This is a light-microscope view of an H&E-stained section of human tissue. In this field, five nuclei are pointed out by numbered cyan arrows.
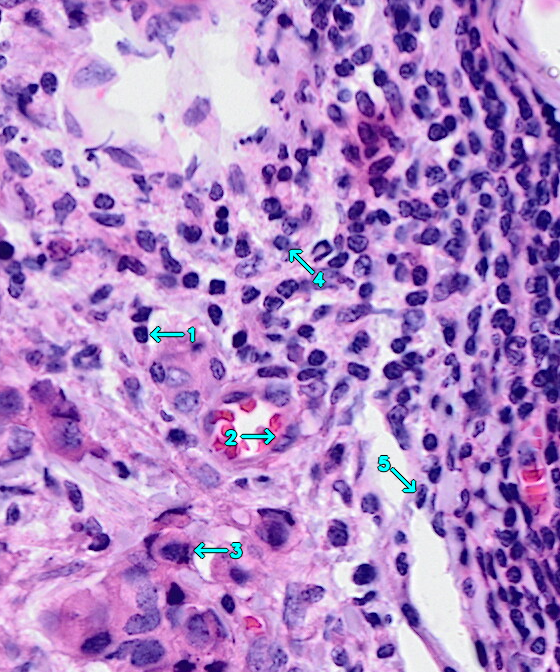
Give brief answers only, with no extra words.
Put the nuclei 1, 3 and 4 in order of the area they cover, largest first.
3, 4, 1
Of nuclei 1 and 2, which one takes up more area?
2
